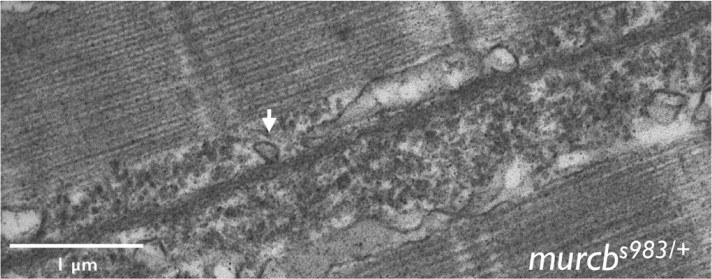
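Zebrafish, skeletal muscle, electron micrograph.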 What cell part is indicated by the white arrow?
Caveloae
